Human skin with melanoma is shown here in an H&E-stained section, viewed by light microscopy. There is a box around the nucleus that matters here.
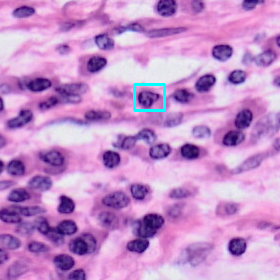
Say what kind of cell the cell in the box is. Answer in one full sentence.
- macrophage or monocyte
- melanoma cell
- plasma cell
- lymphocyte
In cell-type terms, the cell in the box is a plasma cell.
